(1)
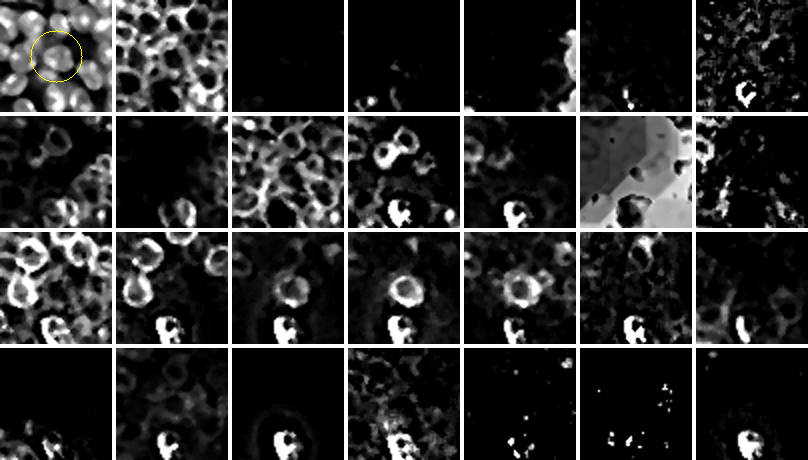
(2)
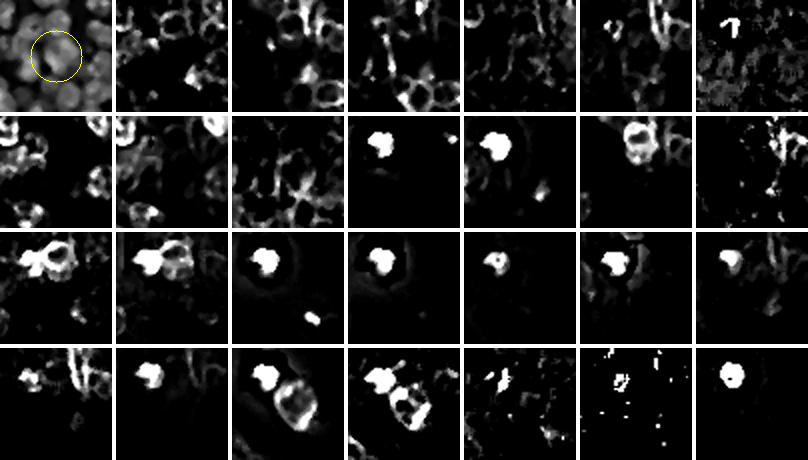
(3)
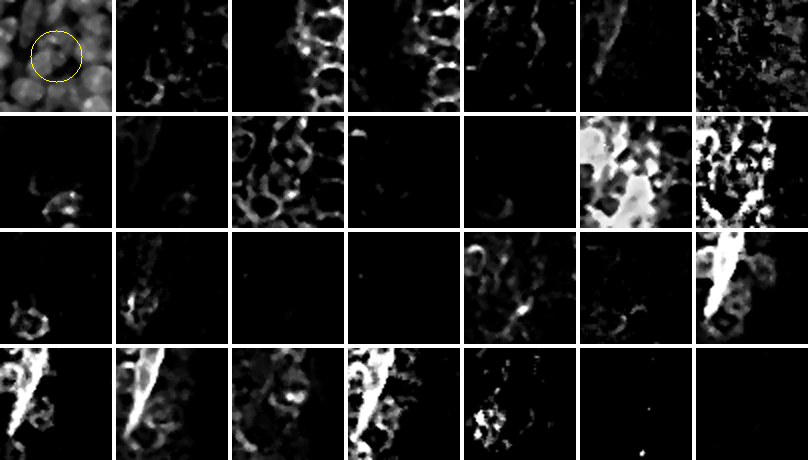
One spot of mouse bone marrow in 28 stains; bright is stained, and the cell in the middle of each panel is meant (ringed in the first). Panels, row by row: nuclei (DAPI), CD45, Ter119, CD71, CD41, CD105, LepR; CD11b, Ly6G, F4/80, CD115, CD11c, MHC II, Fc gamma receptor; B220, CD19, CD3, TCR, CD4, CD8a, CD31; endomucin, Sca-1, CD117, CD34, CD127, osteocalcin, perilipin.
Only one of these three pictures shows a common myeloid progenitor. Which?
Picture 2.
